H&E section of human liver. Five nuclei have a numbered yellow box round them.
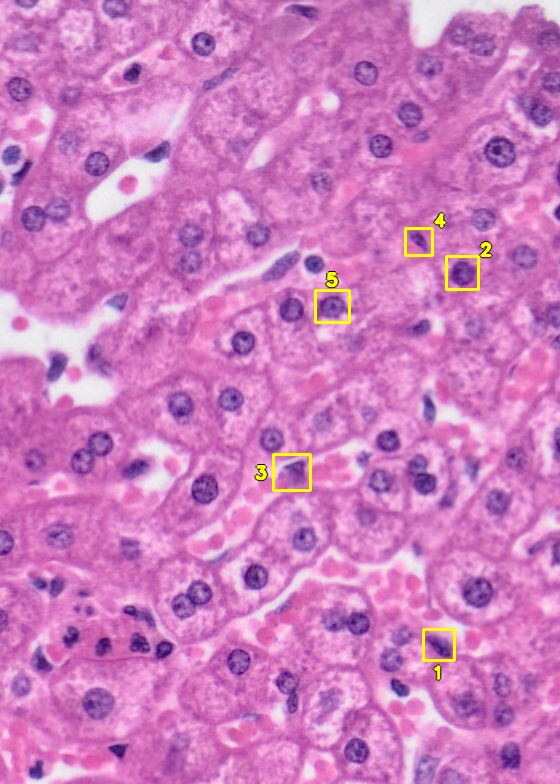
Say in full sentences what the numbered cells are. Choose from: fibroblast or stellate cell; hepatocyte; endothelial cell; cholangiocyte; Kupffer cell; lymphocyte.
Cell 1 is a fibroblast or stellate cell, cell 2 is a hepatocyte, cell 3 is an endothelial cell, cell 4 is an endothelial cell and cell 5 is a hepatocyte.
